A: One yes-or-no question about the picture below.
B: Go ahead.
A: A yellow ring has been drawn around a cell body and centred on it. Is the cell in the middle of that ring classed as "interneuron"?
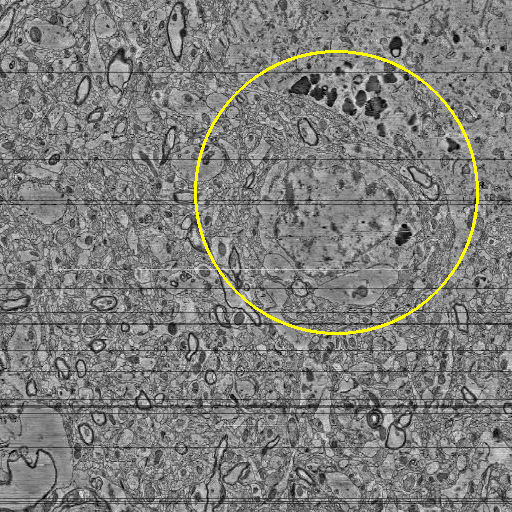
Yes, it is classed that way.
